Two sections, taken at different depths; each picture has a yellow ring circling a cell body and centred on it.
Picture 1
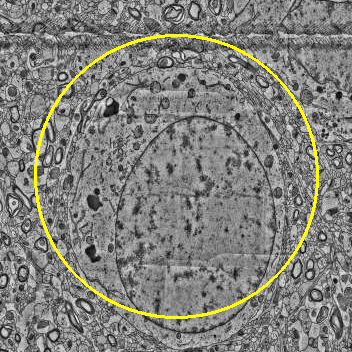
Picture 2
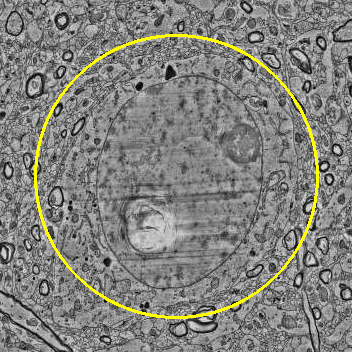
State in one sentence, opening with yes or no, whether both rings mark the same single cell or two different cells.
No, a different cell sits inside each of the two rings.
